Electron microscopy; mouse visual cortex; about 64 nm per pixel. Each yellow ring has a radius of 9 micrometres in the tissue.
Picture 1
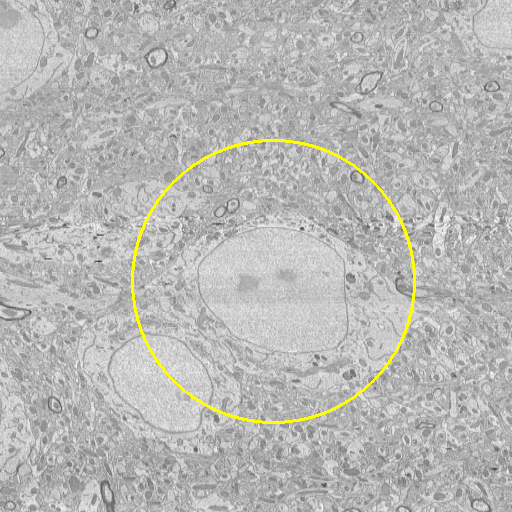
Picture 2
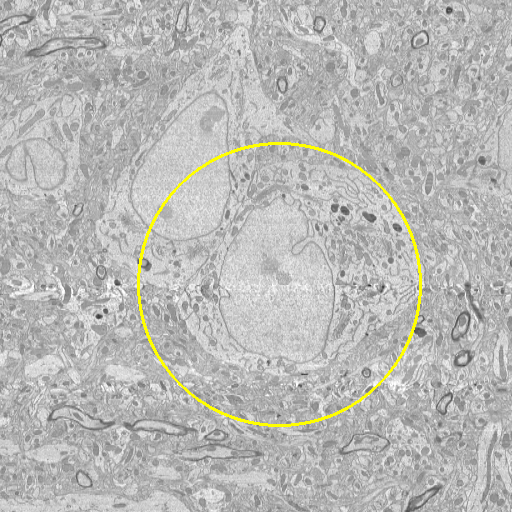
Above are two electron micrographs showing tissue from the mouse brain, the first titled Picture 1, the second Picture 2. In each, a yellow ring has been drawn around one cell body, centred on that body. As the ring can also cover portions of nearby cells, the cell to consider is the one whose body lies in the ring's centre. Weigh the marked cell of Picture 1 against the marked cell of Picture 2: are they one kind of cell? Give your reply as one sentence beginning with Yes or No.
No, the two cells sitting at the ring centres in the pictures are of two kinds.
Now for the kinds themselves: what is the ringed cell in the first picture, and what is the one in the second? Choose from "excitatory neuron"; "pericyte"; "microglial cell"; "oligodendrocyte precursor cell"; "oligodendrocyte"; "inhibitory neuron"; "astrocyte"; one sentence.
Here the first cell is an excitatory neuron and the second cell is an inhibitory neuron.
